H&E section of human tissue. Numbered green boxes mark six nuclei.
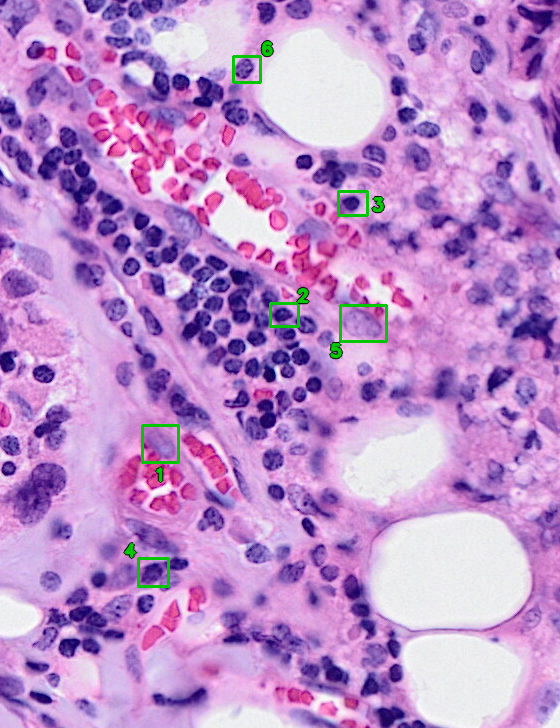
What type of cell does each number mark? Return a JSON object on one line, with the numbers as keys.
{"1": "endothelial cell", "2": "lymphocyte", "3": "lymphocyte", "4": "lymphocyte", "5": "endothelial cell", "6": "lymphocyte"}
